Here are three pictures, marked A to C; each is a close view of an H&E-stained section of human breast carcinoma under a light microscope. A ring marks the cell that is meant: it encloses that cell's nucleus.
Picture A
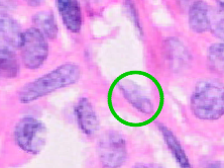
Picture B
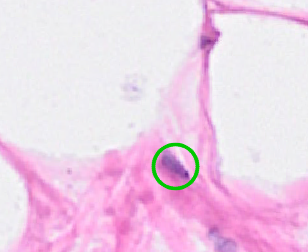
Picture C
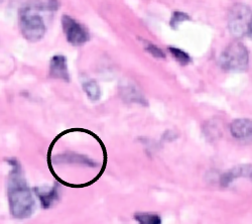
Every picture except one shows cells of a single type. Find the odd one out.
A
